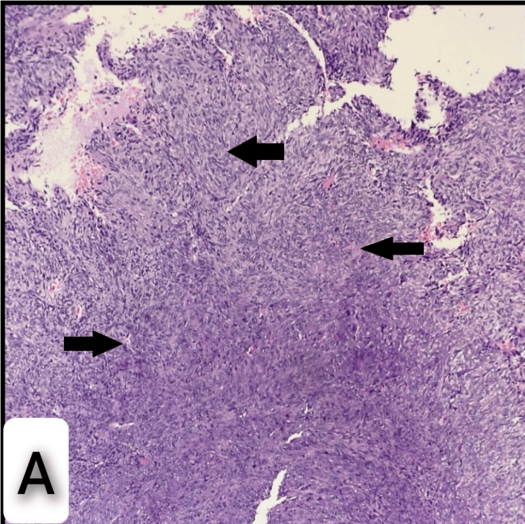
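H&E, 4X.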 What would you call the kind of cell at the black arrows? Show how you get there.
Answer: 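Oval to spindle-shaped cells. Densely cellular tissue in sheets. Cells appear elongated and arranged in streaming fascicles.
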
